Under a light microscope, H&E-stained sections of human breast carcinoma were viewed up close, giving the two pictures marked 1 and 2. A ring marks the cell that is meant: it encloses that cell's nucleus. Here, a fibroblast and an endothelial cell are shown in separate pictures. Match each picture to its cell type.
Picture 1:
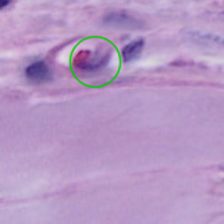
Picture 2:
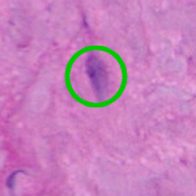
1: endothelial cell
2: fibroblast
